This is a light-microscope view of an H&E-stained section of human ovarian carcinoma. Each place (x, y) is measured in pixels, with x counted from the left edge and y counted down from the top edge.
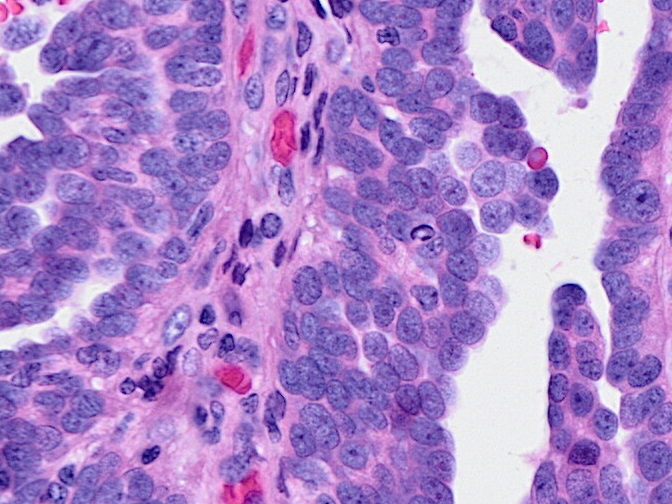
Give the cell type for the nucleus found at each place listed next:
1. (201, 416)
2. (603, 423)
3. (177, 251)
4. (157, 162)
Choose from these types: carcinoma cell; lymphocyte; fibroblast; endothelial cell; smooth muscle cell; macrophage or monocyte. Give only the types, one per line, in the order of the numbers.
lymphocyte
carcinoma cell
carcinoma cell
carcinoma cell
